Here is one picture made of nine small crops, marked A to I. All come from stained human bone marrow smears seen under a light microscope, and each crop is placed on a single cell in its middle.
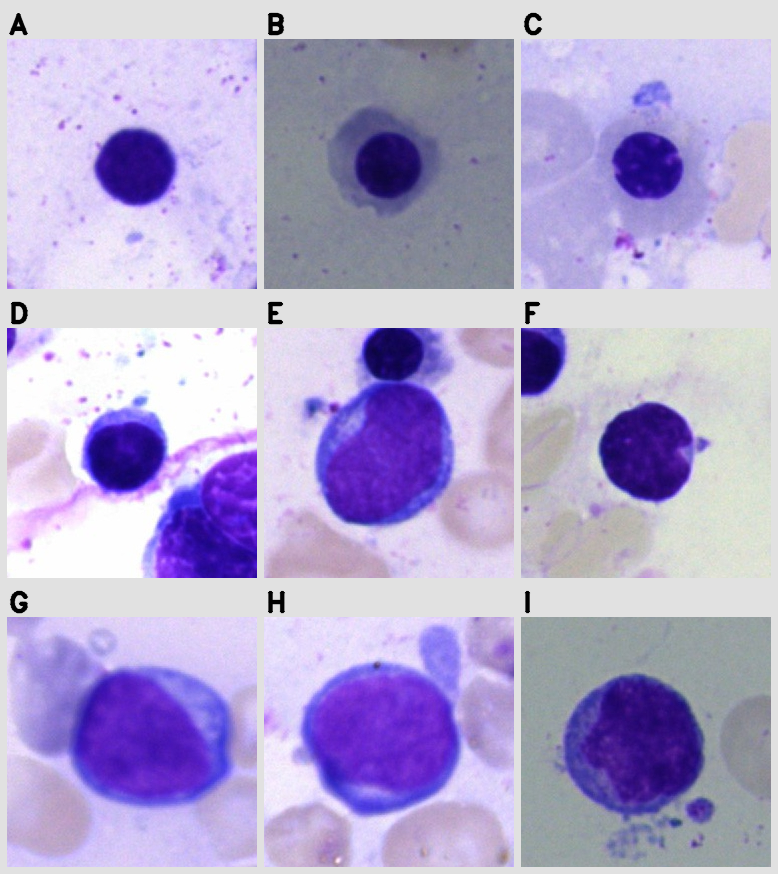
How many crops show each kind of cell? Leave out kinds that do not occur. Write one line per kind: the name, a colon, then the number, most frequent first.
blast: 4
lymphocyte: 3
erythroblast: 2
